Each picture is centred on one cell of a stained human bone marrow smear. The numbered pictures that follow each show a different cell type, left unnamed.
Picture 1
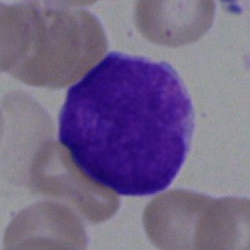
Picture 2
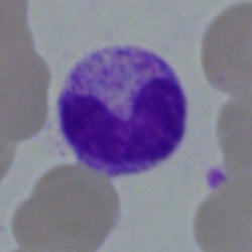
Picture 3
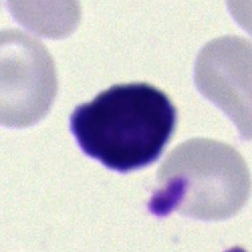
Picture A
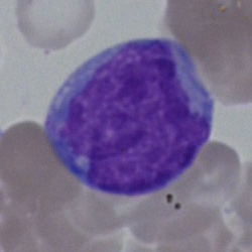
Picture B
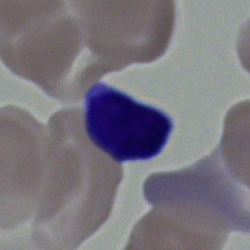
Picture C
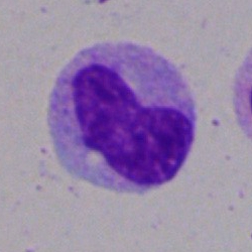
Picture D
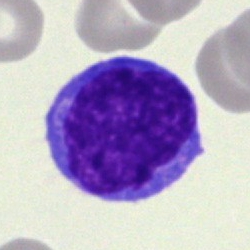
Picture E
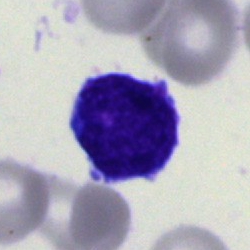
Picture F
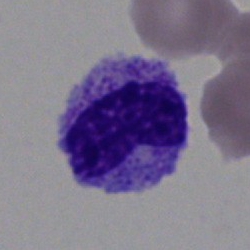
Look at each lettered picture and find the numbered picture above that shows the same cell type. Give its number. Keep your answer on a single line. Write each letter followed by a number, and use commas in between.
A 1, B 3, C 2, D 1, E 1, F 2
